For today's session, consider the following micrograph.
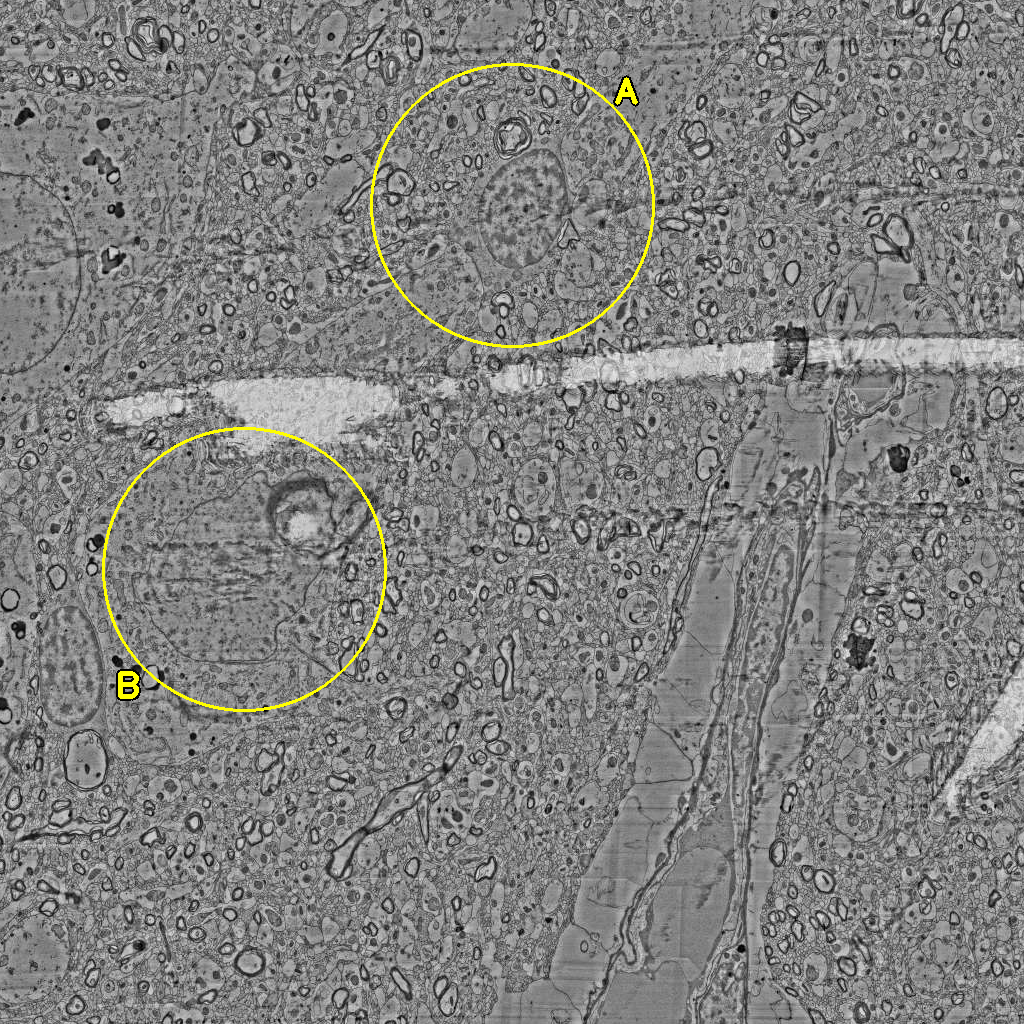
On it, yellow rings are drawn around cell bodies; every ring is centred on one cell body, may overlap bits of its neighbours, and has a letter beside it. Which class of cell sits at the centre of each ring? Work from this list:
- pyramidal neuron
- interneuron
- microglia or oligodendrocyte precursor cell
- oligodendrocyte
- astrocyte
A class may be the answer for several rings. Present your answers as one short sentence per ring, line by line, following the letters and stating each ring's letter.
Ring A centres on an oligodendrocyte.
Ring B centres on a pyramidal neuron.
